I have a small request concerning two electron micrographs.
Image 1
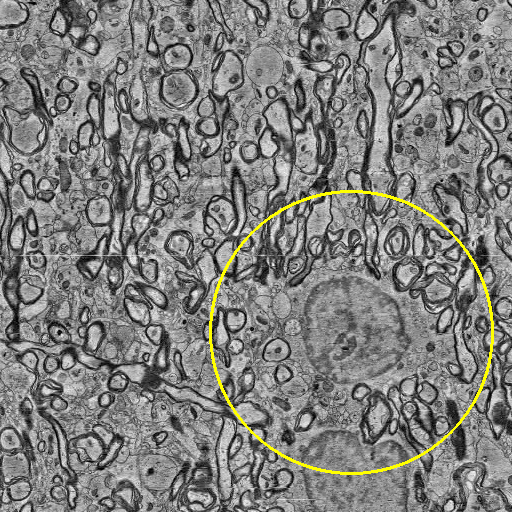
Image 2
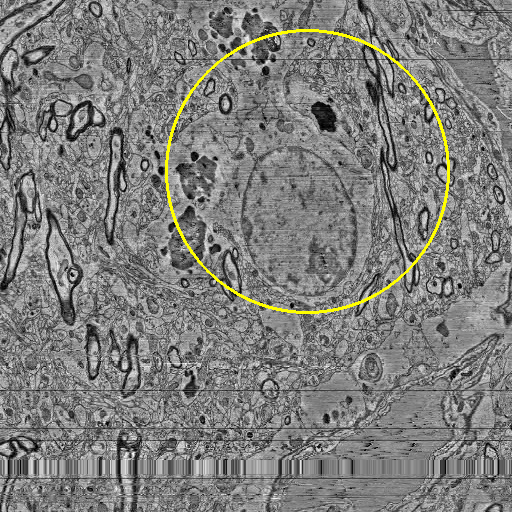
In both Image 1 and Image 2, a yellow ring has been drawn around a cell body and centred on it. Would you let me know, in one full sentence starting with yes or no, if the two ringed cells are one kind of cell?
No, the cells ringed in Image 1 and Image 2 are two kinds of cell.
